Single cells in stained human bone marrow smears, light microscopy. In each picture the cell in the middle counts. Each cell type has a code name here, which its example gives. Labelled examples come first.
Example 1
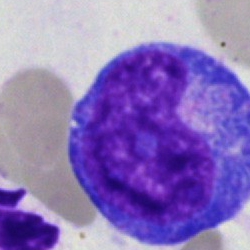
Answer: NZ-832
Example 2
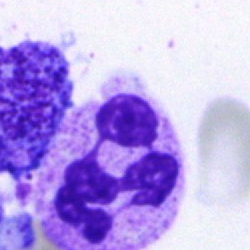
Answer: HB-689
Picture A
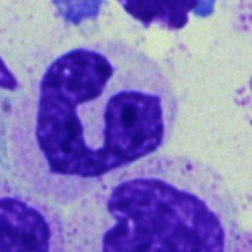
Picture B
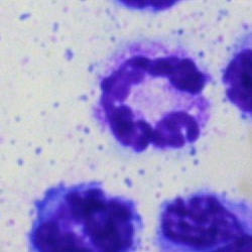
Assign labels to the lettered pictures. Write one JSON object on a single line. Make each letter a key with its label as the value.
{"A": "HB-689", "B": "HB-689"}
